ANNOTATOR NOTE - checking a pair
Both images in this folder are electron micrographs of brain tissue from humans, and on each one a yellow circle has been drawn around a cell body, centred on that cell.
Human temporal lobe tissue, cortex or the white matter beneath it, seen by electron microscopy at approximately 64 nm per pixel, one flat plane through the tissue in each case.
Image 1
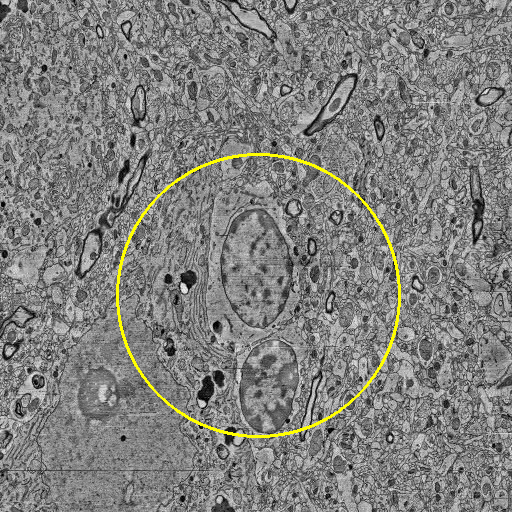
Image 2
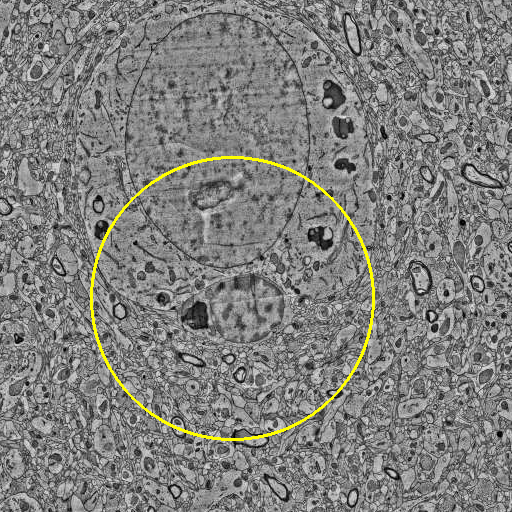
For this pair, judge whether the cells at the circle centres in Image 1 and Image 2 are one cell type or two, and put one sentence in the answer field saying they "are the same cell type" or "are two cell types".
For this pair, the cells at the circle centres in Images 1 and 2 are two cell types.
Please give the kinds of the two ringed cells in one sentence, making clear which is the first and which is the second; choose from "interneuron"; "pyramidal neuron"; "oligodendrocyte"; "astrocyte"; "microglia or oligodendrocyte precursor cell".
In the second picture the ringed cell is an oligodendrocyte; in the first it is a microglial cell or oligodendrocyte precursor cell.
